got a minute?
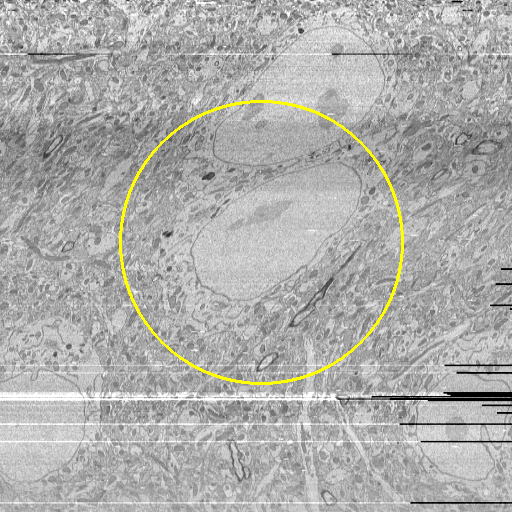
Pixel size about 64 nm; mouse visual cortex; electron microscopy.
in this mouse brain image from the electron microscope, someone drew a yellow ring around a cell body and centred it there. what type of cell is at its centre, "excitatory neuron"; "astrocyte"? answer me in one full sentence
It's an excitatory neuron at the middle of that yellow ring in the shot.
